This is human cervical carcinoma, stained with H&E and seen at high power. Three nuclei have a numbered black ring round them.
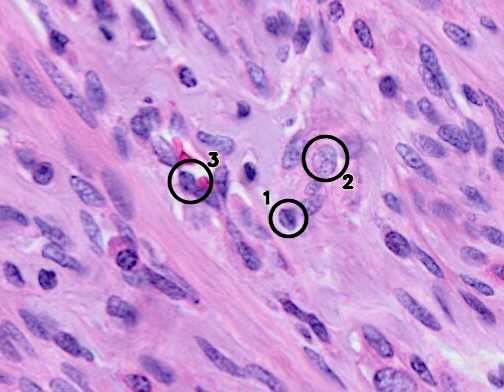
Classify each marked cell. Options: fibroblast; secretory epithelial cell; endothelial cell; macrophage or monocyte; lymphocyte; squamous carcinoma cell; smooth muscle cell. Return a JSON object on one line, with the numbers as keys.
{"1": "lymphocyte", "2": "endothelial cell", "3": "endothelial cell"}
